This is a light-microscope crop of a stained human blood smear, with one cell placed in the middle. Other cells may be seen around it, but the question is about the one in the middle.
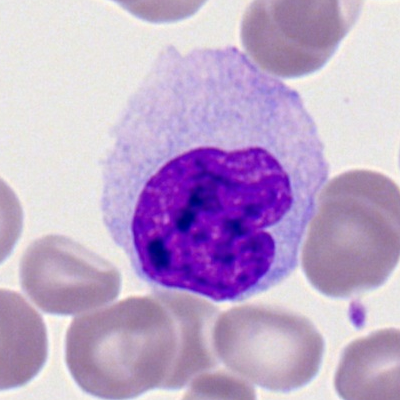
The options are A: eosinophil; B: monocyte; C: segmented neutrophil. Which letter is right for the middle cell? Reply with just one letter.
B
